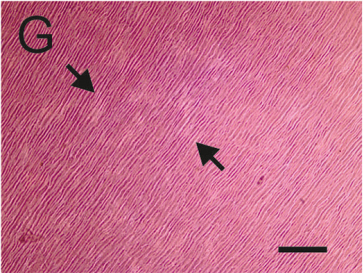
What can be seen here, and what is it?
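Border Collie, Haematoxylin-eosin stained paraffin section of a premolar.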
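This is a pink-stained section of dentin filled with very fine, closely packed parallel lines running diagonally across the field. These lines are dentinal tubules and they run on without interruption. Scattered through the field are slightly paler, less intensely pink patches.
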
